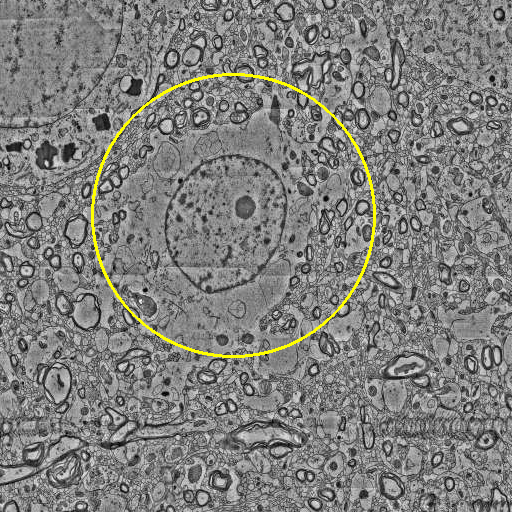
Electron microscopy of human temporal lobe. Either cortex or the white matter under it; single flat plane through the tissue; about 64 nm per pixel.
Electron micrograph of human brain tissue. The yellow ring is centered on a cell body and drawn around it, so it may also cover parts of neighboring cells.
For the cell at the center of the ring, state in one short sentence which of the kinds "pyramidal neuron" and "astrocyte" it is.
This ring is centered on an astrocyte.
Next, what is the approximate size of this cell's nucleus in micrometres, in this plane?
In this plane, roughly 9 by 7 micrometres.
